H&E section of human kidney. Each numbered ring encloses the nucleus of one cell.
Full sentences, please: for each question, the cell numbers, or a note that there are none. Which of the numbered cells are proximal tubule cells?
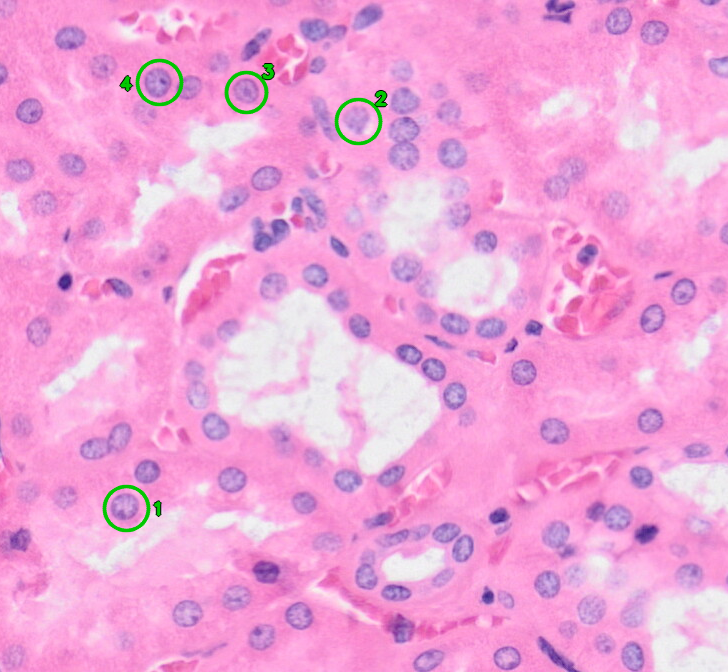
The numbers 1, 3 and 4 mark cells that are proximal tubule cells.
